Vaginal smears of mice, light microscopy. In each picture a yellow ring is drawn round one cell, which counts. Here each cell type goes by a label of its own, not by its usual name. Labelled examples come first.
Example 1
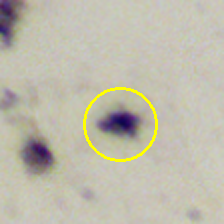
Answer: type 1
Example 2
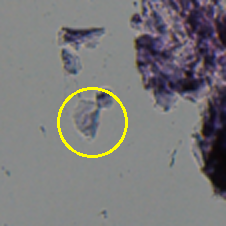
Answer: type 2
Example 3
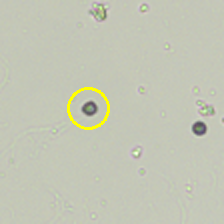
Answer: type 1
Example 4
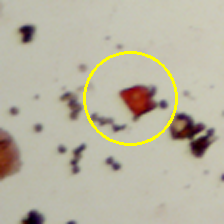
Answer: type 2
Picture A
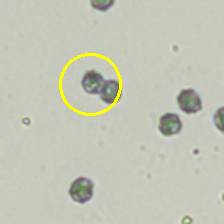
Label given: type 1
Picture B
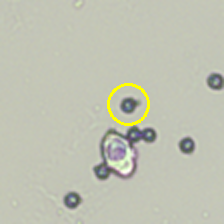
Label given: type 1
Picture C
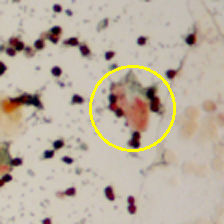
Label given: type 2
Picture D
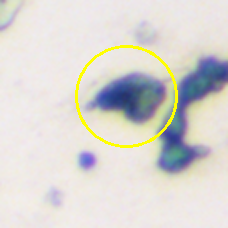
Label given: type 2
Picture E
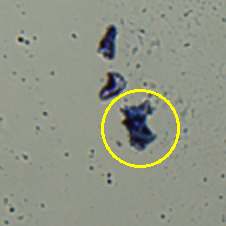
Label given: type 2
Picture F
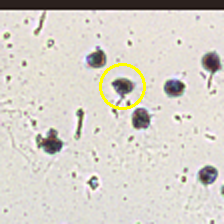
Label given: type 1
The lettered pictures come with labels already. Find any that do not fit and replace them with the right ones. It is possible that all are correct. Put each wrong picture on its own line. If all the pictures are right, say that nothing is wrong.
All correct.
